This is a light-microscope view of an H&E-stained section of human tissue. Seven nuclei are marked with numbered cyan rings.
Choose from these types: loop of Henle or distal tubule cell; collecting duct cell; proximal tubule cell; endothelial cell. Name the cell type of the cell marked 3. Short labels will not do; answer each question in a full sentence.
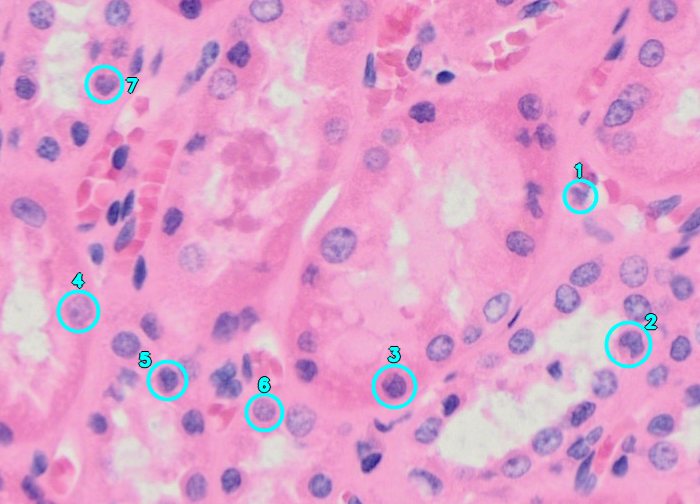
The nucleus marked 3 is the nucleus of a proximal tubule cell.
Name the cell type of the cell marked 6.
The nucleus with number 6 is that of a loop of Henle or distal tubule cell.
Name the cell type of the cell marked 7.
The nucleus labeled 7 belongs to a loop of Henle or distal tubule cell.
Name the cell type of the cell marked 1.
The numeral 1 marks an endothelial cell in this section.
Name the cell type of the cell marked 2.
Identified as a loop of Henle or distal tubule cell is the cell bearing the number 2.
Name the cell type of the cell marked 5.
Numbered cell 5 is a loop of Henle or distal tubule cell in this tissue section.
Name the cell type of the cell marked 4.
The one labeled 4 is a proximal tubule cell, to put it simply.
